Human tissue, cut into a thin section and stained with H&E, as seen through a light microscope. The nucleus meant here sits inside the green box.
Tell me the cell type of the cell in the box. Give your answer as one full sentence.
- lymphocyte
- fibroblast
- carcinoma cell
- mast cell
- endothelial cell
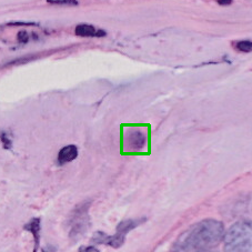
The expected answer is simply that the cell in the box is a mast cell.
